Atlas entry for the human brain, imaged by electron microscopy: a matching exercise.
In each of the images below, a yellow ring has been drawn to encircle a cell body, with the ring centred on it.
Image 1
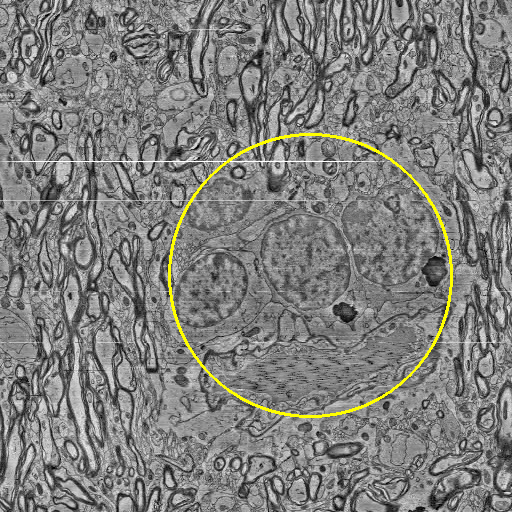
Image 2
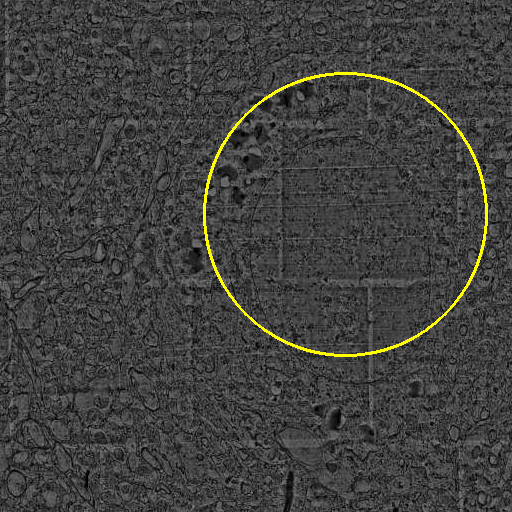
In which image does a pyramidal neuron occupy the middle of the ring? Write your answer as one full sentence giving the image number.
In image 2, the ring is centred on the cell in question.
